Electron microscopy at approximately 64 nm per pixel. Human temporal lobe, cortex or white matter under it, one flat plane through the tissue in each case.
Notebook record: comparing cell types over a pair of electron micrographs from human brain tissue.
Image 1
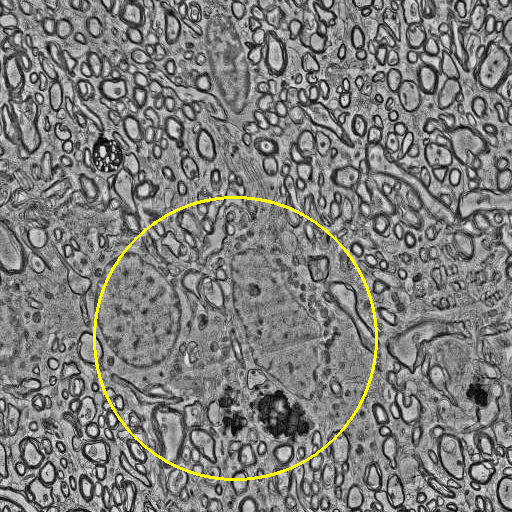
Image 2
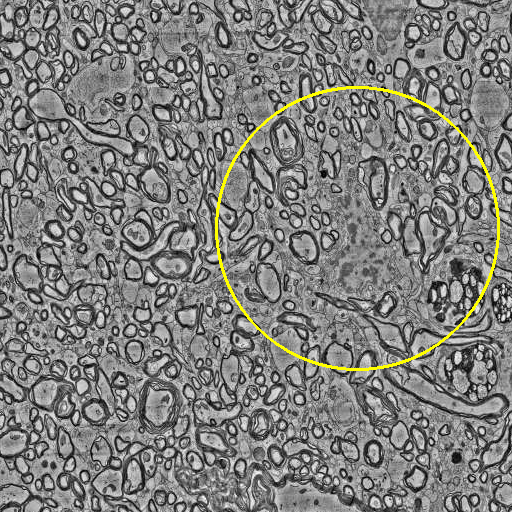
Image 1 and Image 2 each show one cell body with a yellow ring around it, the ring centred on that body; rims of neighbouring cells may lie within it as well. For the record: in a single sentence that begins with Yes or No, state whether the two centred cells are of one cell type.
Yes, one cell type is shared by the centred cells of Image 1 and Image 2.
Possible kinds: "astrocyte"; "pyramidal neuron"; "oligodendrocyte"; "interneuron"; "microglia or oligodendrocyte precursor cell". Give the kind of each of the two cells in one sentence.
Each of the two pictures has an astrocyte at the ring centre.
